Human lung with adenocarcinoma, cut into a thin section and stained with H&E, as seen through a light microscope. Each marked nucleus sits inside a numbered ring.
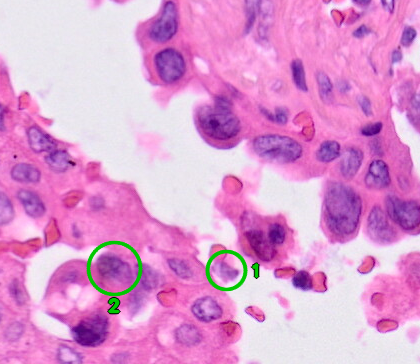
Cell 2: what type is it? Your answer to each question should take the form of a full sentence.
Cell 2 is classified as a carcinoma cell.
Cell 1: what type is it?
The cell referred to as 1 is a macrophage or monocyte.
